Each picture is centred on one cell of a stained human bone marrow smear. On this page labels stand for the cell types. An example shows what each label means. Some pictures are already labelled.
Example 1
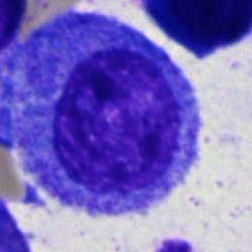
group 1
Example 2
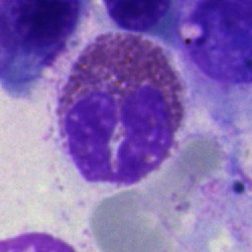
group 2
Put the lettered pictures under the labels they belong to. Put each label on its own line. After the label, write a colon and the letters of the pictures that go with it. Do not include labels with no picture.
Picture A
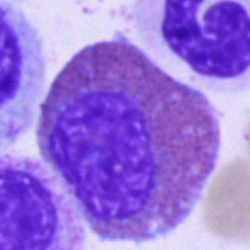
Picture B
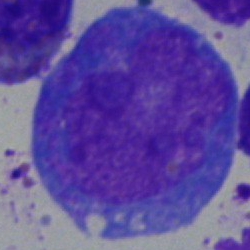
group 1: B
group 2: A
